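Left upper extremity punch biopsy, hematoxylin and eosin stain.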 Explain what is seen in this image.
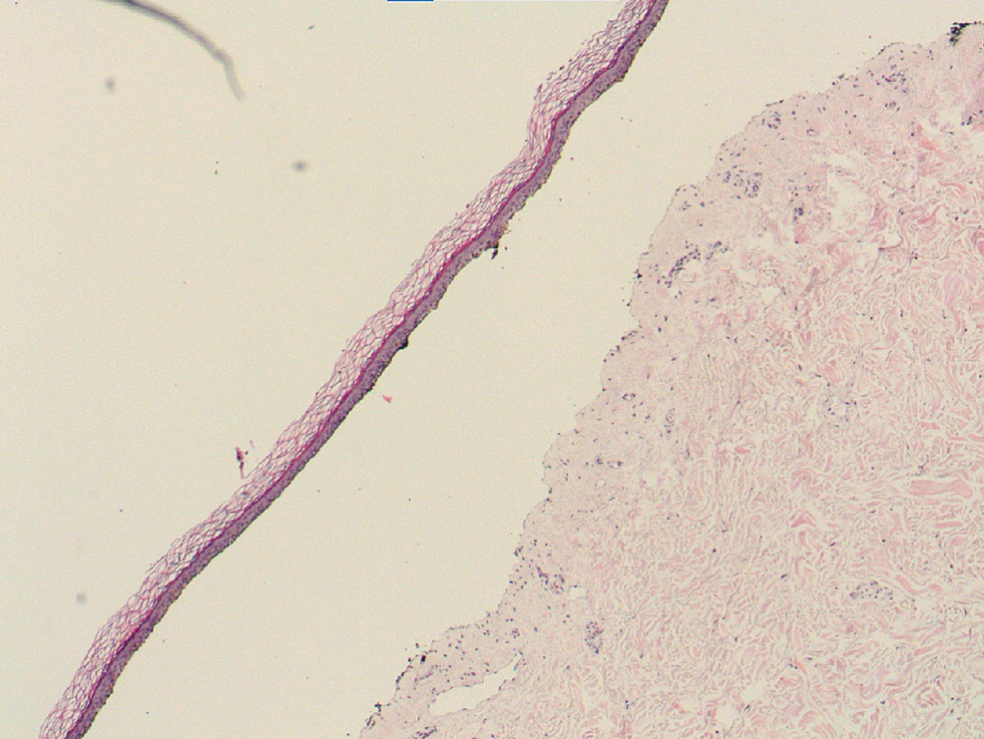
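This section of skin shows a blister that forms beneath the epidermis. The epidermis is a thin, continuous strip lifted free of the dermis. Its outer side has a pale, net-like keratin layer, and a darker purple cellular layer faces the gap. A broad, clear space separates this strip from the dermis, whose pink, wavy collagen bundles form the blister floor. Only scattered small dark specks lie in the dermis, with no dense collections of inflammatory cells.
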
